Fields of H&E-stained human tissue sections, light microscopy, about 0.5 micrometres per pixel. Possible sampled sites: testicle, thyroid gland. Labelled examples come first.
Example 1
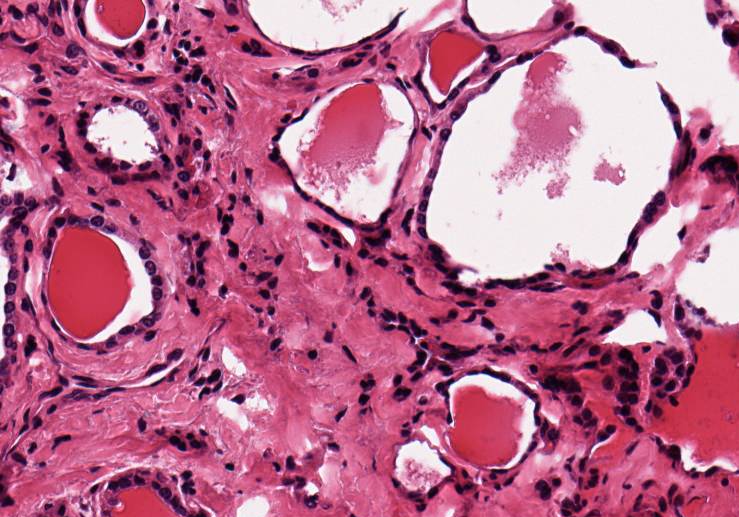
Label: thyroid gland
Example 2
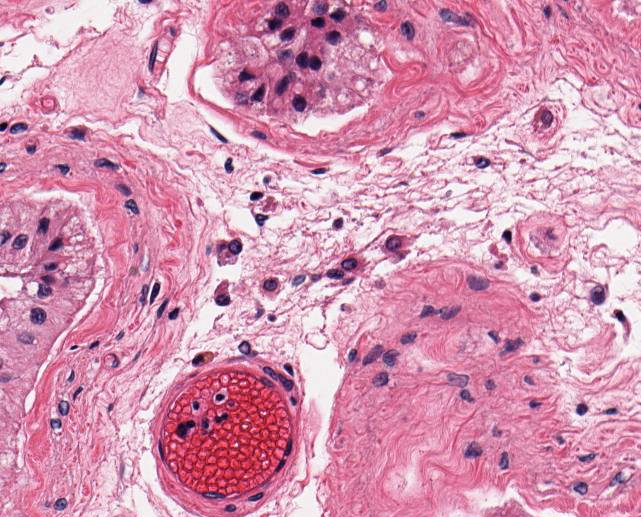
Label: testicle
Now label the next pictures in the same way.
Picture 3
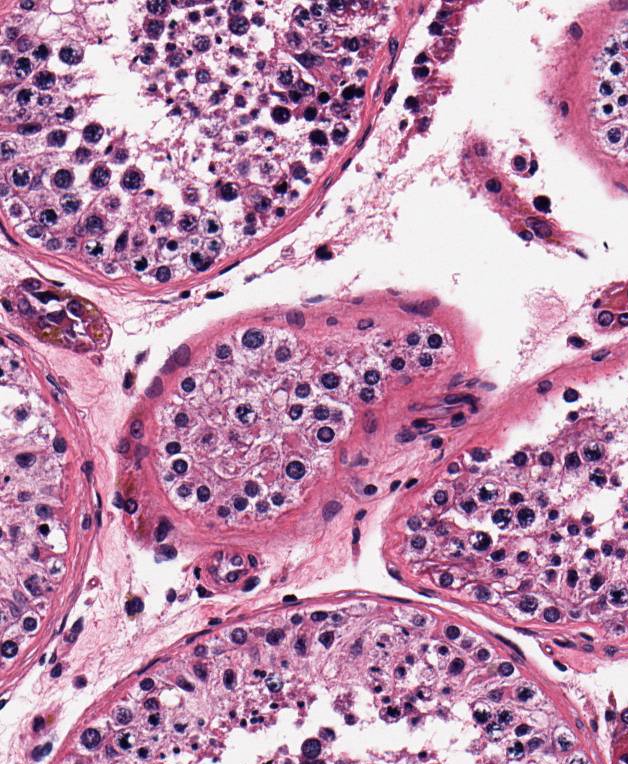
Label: testicle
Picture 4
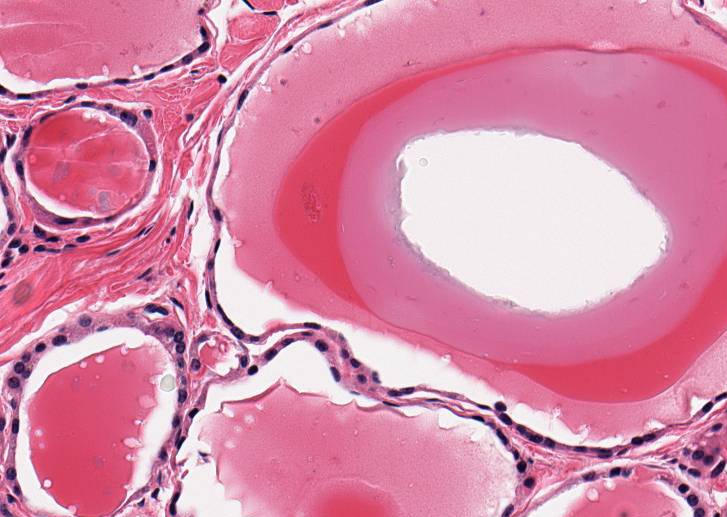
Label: thyroid gland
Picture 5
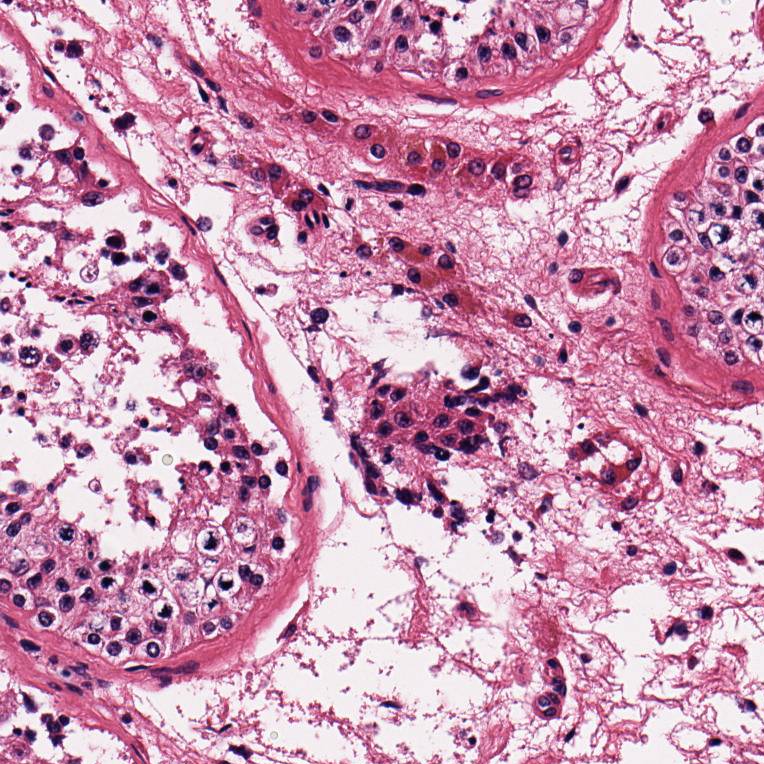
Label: testicle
